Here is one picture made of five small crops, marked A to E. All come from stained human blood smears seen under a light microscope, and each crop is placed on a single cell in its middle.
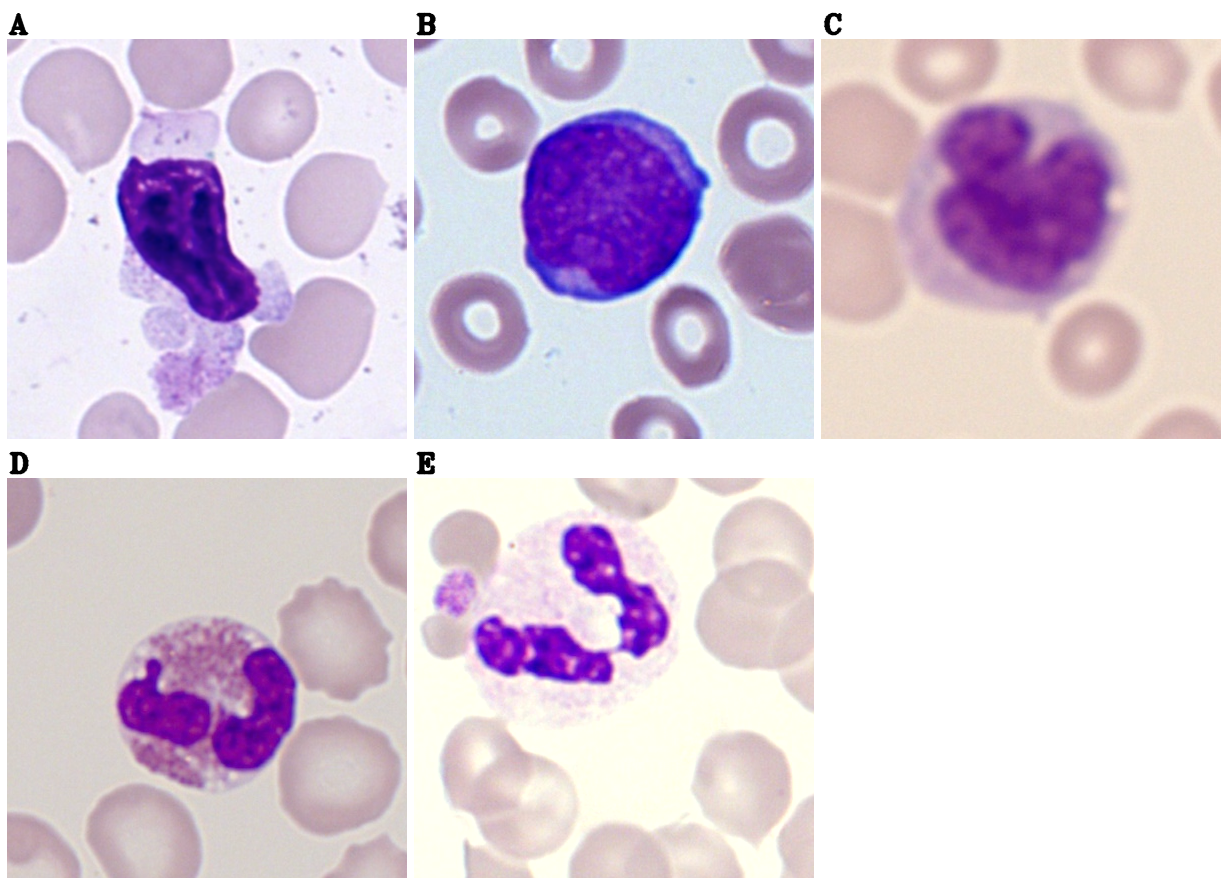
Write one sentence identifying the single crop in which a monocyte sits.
The crop that shows a monocyte is crop C.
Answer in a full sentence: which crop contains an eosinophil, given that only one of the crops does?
It is crop D, not any other, that shows an eosinophil.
